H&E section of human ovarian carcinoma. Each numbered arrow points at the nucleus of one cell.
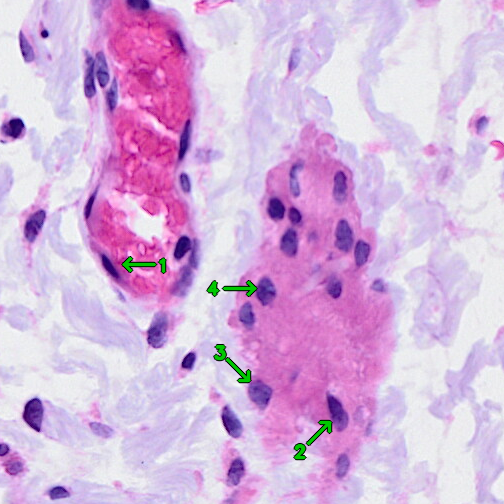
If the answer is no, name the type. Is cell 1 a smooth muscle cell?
No, it is an endothelial cell.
